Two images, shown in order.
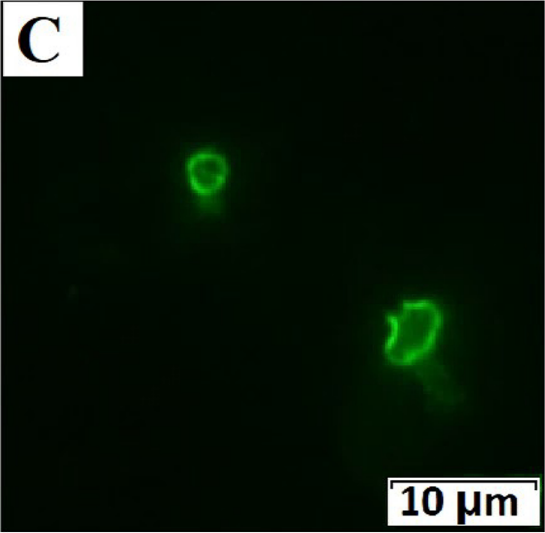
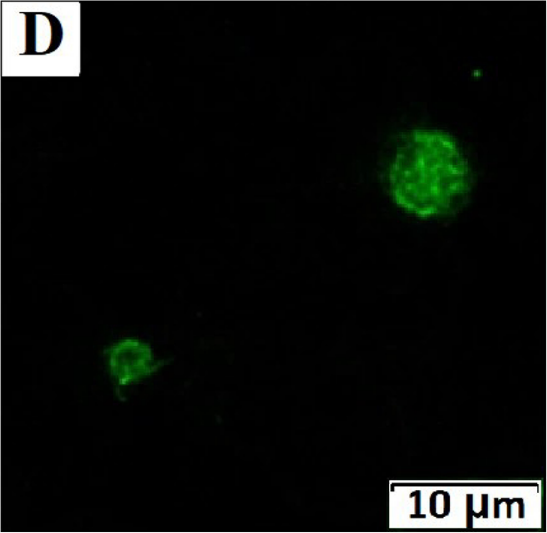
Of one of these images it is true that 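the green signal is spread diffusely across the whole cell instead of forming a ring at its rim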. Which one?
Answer: The second image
